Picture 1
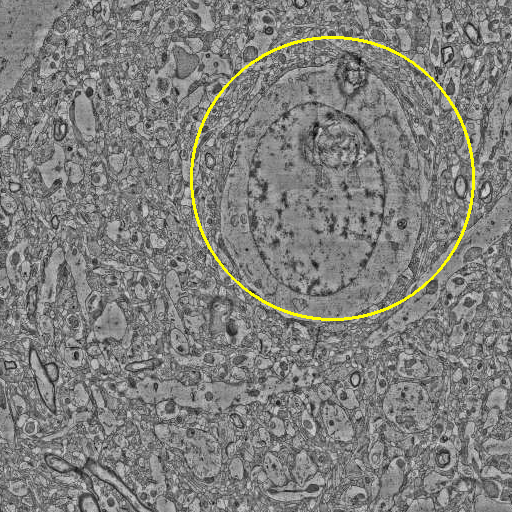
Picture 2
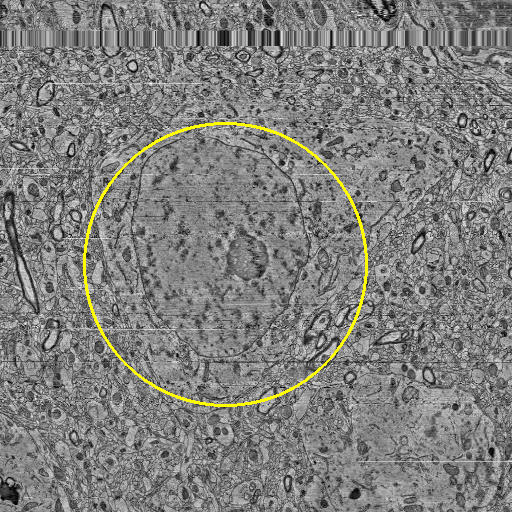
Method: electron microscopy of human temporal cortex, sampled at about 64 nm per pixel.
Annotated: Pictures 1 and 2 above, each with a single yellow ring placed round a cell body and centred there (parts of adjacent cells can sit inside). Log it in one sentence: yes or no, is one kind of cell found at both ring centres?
Yes, the ring centres of the two pictures hold cells of one kind.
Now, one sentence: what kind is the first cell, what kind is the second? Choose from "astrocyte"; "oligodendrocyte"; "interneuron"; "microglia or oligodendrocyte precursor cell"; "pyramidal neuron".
The first and the second cell are each a pyramidal neuron.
